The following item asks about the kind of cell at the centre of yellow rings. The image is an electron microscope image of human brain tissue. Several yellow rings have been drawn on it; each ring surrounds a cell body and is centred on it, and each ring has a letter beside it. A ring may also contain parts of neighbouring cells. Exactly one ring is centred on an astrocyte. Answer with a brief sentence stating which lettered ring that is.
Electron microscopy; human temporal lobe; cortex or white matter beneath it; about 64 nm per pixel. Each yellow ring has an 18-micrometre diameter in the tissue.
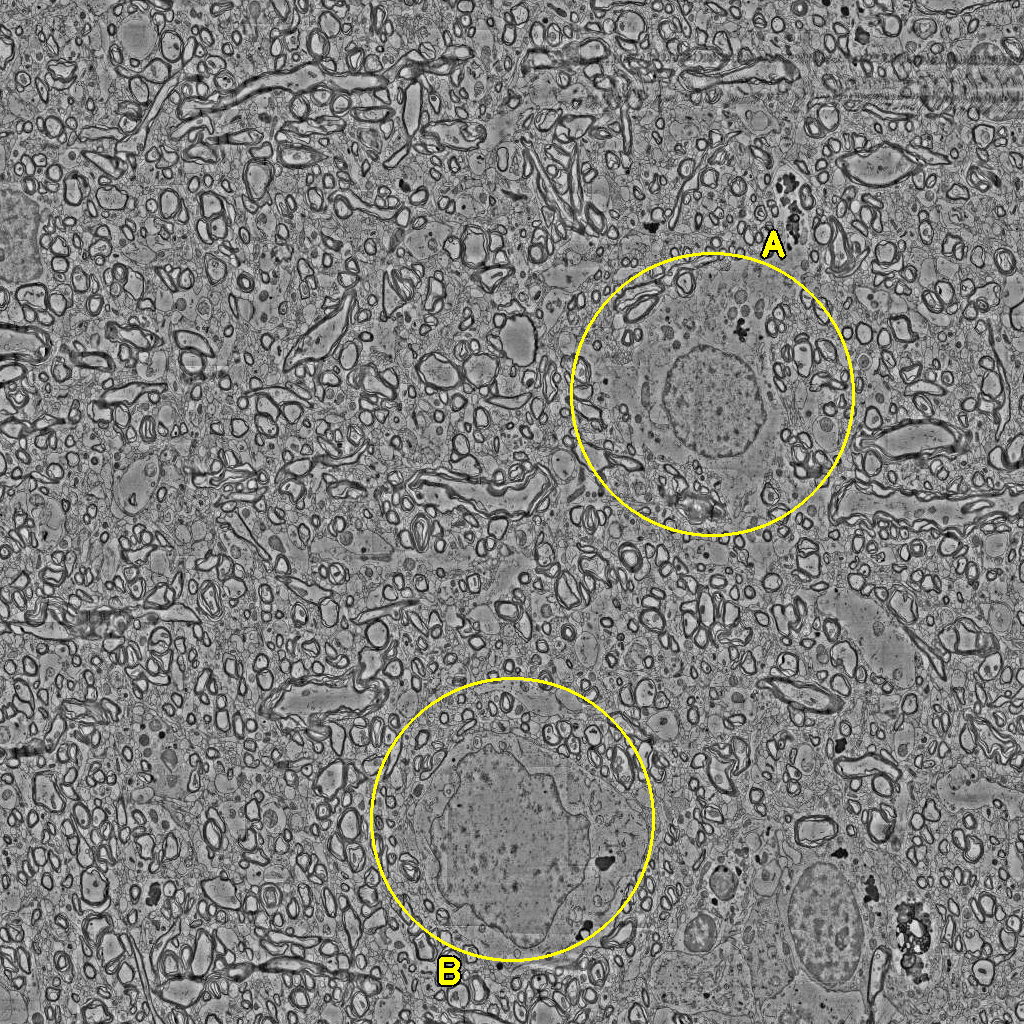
That is ring A.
